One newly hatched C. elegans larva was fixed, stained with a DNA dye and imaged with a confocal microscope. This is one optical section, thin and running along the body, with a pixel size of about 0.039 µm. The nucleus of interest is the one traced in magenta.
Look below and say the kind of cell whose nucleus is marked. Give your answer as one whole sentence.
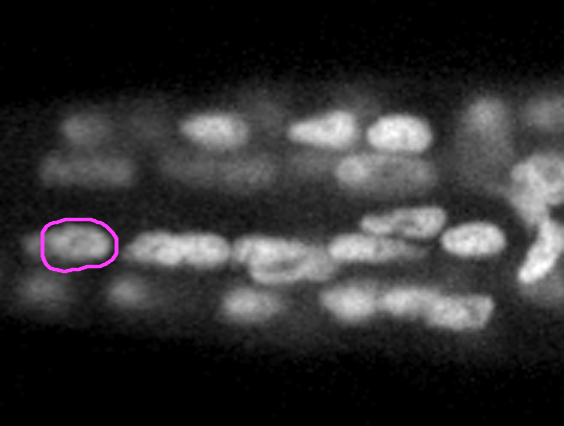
What is marked is the nucleus of a pharyngeal epithelial cell.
